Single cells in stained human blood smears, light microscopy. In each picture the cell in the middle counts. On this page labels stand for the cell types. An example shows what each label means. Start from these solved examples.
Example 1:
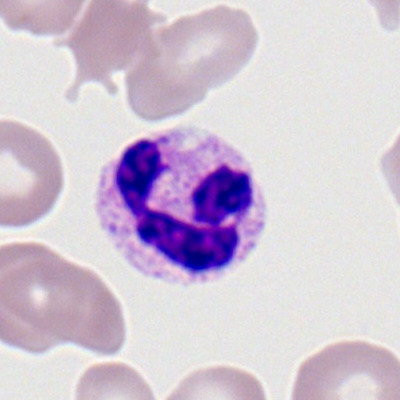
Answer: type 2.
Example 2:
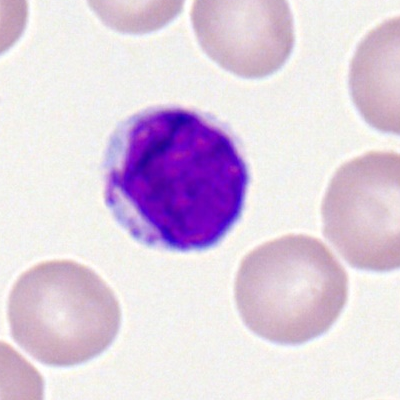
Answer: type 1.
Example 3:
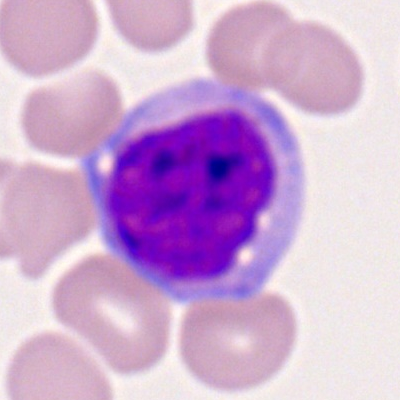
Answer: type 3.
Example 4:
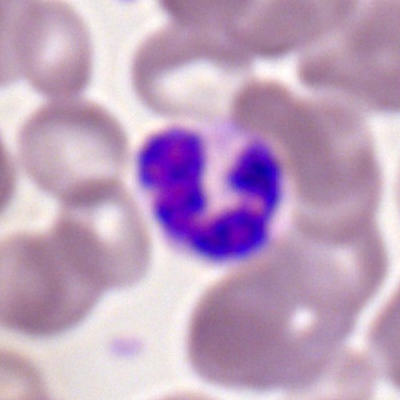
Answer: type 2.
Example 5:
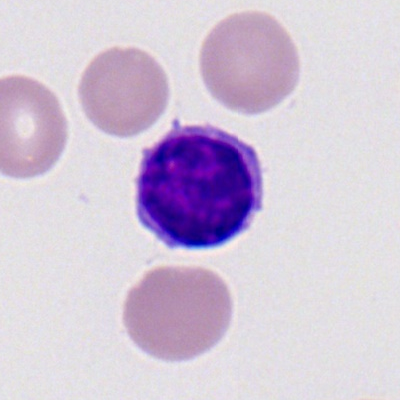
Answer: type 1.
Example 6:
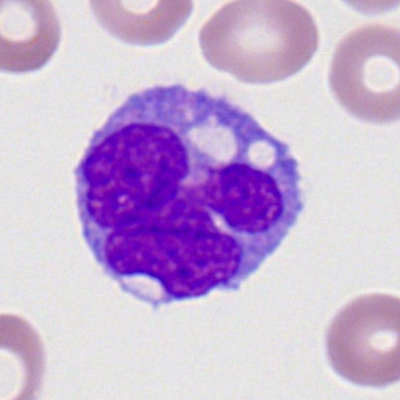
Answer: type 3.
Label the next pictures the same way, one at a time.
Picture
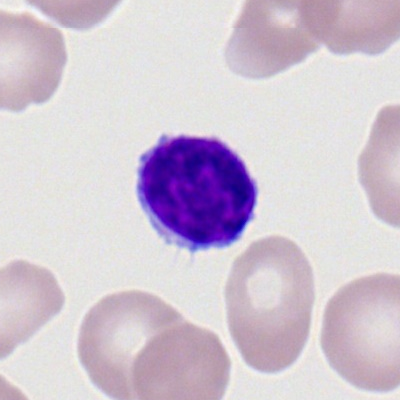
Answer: type 1.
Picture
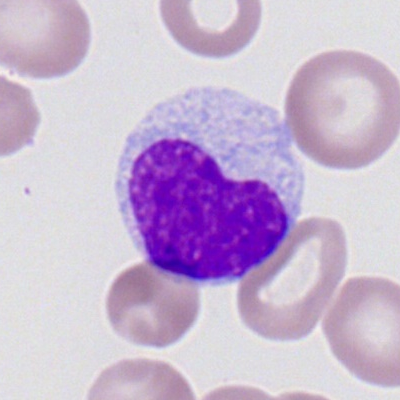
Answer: type 1.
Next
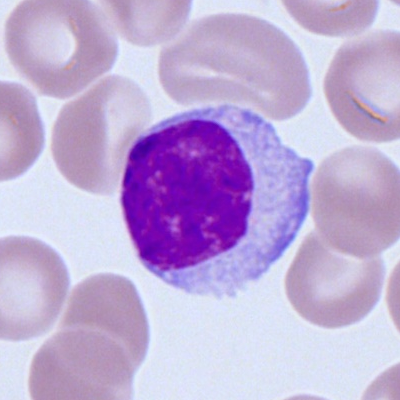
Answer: type 1.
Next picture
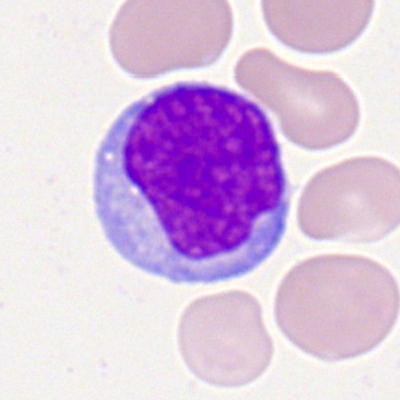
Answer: type 1.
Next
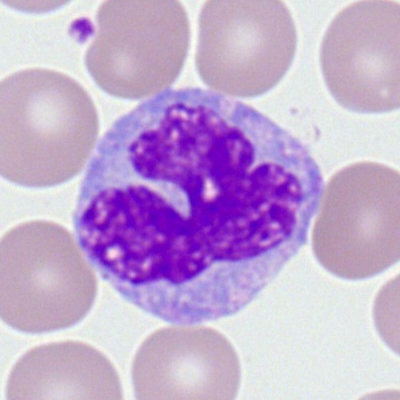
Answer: type 3.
